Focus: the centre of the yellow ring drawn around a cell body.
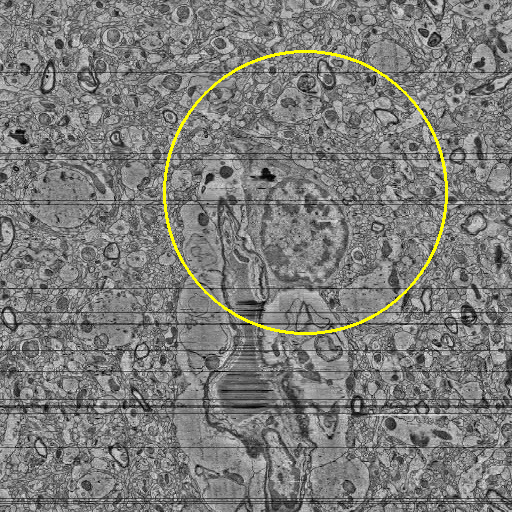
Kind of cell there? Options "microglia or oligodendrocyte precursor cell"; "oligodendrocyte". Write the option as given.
oligodendrocyte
